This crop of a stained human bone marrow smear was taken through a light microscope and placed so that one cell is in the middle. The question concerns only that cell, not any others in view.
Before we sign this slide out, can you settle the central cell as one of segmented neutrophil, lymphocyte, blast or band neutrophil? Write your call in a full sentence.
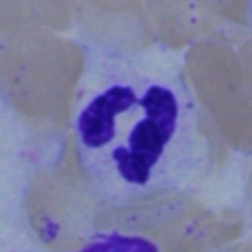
By classification, the middle cell of this crop is a segmented neutrophil.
